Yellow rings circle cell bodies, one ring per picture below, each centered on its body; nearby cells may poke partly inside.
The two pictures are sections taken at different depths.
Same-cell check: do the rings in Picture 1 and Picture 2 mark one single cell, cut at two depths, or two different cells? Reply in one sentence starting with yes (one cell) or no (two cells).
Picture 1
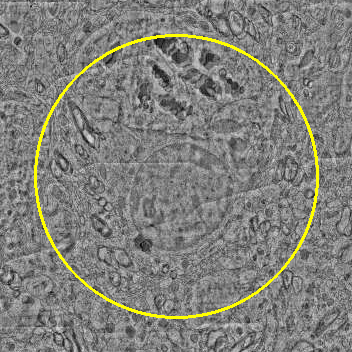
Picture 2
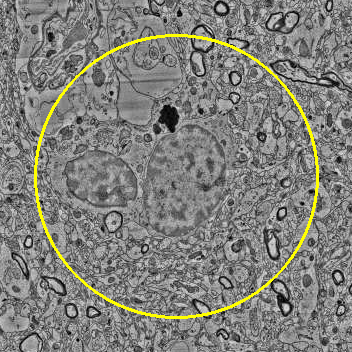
No, the yellow rings are placed on two separate cells.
